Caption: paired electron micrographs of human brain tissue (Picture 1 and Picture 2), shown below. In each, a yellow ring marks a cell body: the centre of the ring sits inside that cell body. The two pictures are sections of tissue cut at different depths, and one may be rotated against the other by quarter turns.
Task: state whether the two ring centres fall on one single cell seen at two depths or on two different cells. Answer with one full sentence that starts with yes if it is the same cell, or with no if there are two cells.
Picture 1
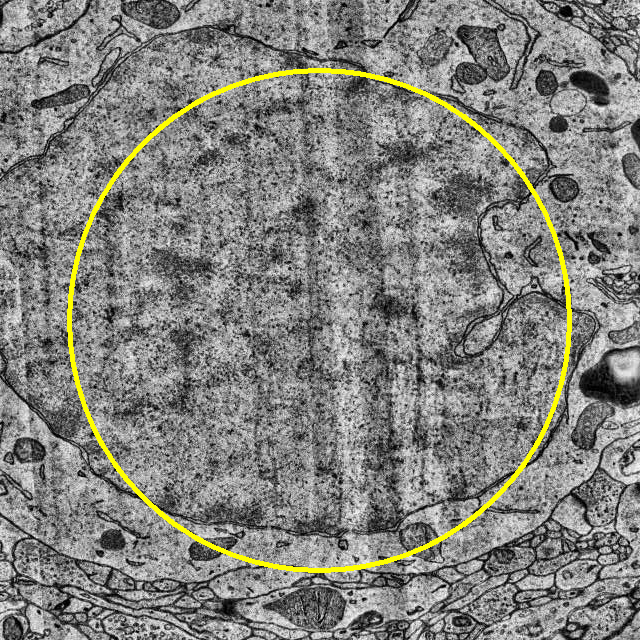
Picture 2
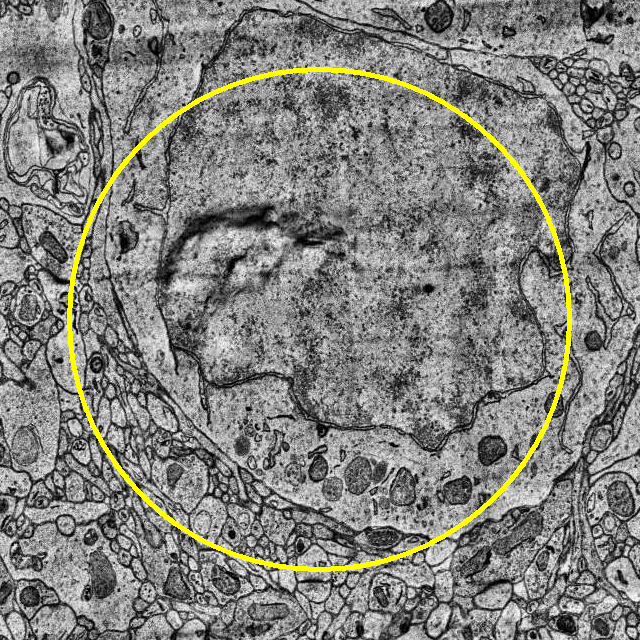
No, the two rings were placed on two different cells.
